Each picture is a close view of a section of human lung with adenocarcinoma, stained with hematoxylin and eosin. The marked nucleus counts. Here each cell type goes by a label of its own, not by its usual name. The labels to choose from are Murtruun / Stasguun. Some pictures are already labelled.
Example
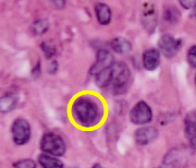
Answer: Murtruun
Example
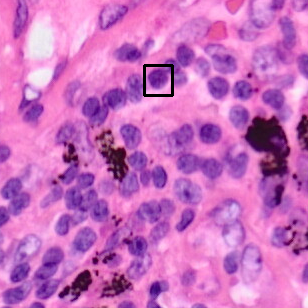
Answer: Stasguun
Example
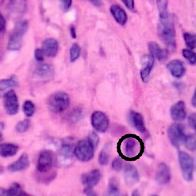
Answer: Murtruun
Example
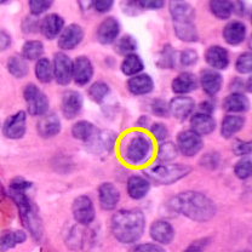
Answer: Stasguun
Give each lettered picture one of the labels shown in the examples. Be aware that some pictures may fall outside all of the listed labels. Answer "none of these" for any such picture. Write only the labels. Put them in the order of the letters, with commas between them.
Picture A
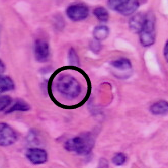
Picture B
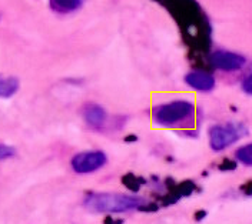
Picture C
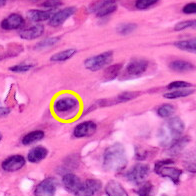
Murtruun, Murtruun, Murtruun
